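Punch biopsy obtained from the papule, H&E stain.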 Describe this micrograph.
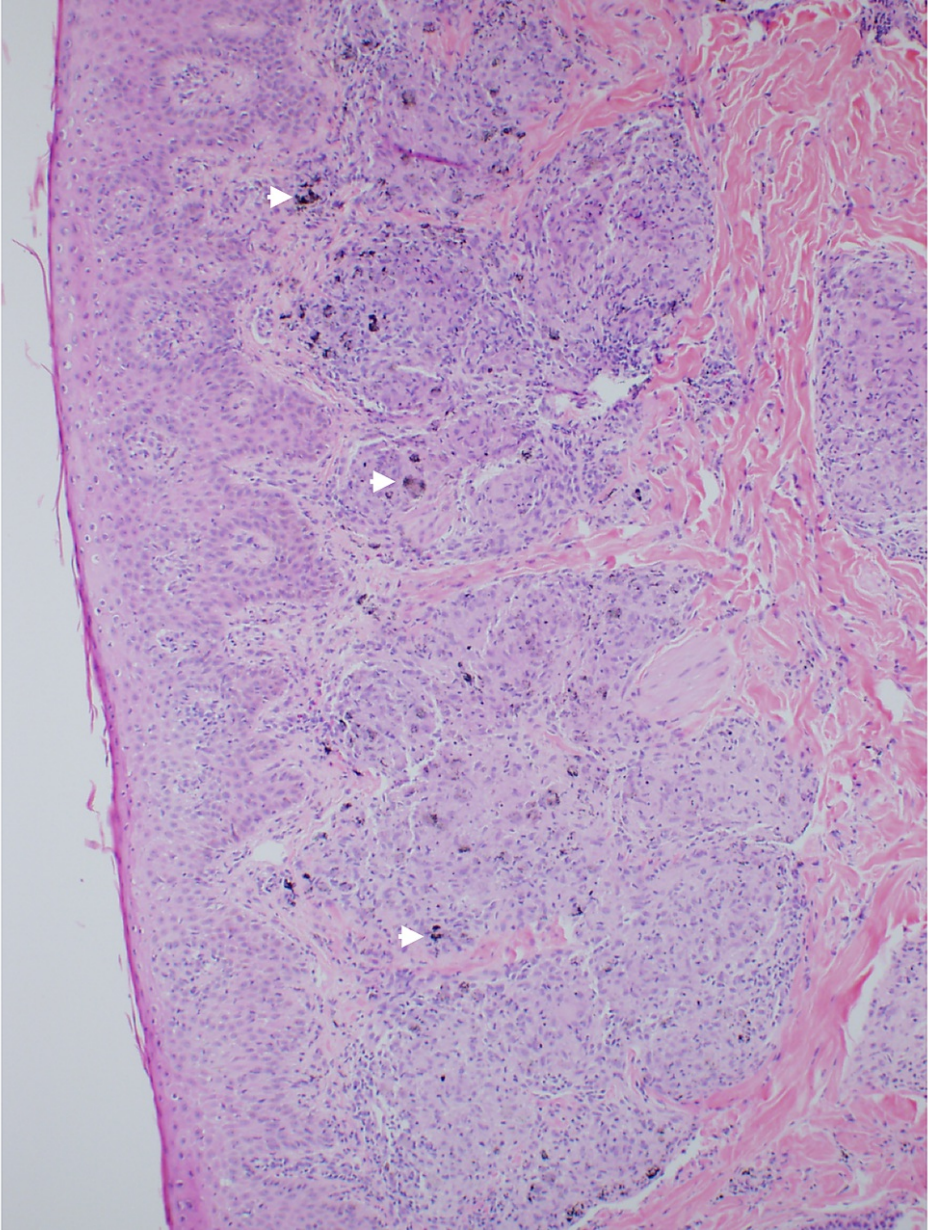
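Beneath a stratified squamous epidermis, the dermis is filled by rounded nodular clusters of large polygonal epithelioid cells with abundant pale pink cytoplasm and oval nuclei, separated by bands of pink collagen. Scattered dark brown-black pigment granules lie in the papillary dermis and among the nests, together with a sparse infiltrate of small dark-nucleated inflammatory cells. This is a dermal proliferation of epithelioid cells in nodular clusters with pigment in the upper dermis.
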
